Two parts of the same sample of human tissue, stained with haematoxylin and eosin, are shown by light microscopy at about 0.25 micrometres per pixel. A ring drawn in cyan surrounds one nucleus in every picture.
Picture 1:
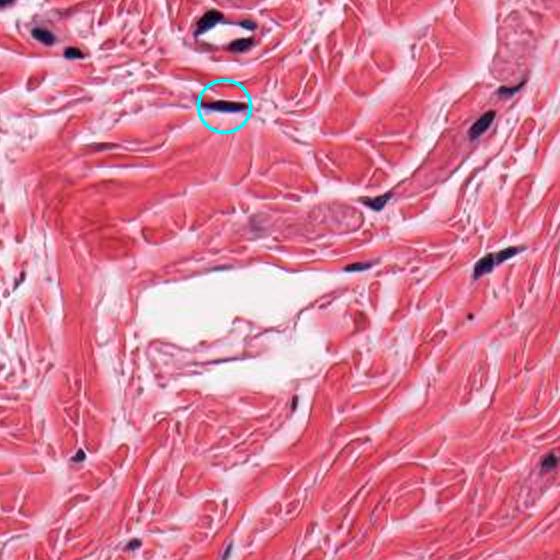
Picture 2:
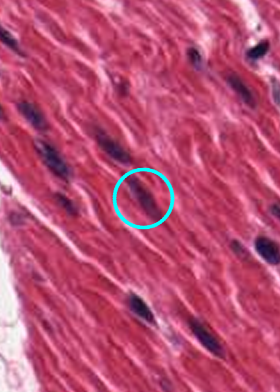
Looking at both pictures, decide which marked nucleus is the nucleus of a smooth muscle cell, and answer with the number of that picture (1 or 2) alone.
2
